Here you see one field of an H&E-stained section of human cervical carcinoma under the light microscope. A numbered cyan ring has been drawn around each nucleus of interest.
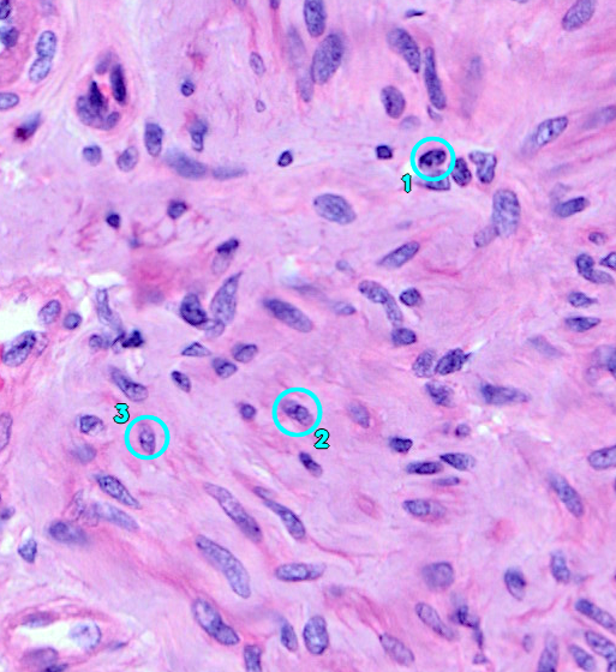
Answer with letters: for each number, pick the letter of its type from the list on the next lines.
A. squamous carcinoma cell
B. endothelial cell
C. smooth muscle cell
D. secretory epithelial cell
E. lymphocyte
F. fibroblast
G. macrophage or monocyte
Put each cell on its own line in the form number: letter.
1: E
2: C
3: C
